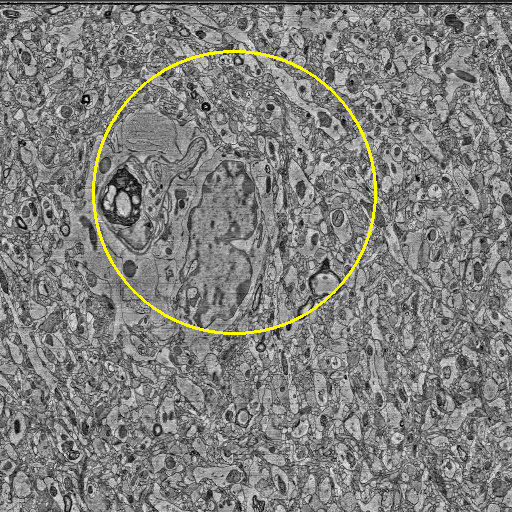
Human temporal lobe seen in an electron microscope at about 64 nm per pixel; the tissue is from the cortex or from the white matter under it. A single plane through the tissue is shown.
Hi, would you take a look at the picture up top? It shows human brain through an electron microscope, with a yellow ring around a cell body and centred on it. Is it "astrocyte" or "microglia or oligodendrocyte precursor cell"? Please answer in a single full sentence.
The best fit for the cell in the middle of the ring is a microglial cell or oligodendrocyte precursor cell, I reckon.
